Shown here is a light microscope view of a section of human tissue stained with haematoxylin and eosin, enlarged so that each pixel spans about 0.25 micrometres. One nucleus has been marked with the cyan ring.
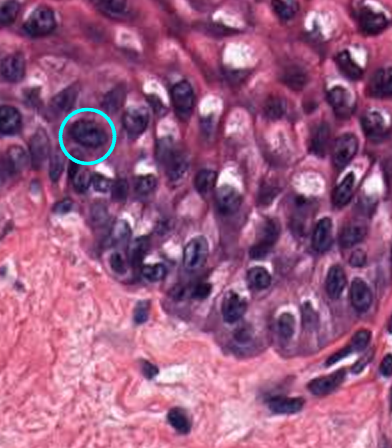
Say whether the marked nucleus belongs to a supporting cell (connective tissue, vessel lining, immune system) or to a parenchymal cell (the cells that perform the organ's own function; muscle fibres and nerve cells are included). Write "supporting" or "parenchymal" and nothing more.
parenchymal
